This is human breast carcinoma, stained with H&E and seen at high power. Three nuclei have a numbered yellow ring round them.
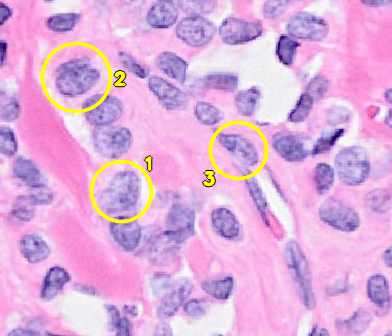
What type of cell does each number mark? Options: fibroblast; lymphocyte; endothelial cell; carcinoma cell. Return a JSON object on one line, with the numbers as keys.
{"1": "carcinoma cell", "2": "carcinoma cell", "3": "endothelial cell"}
